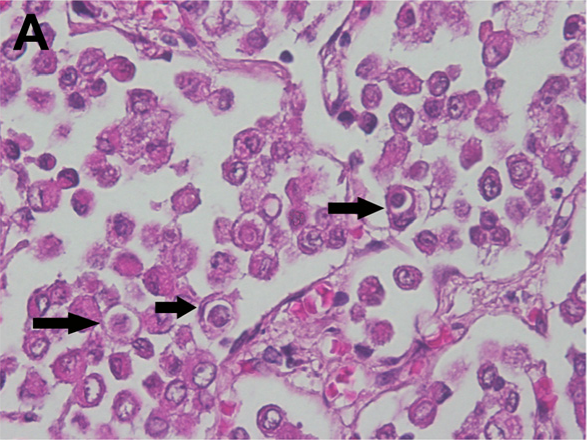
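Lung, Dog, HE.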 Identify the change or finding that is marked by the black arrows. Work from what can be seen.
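Each arrowed cell holds a second, smaller cell inside it, within a clear space. The enclosing cell's nucleus is pushed aside into a thin crescent around the inner cell.
Conclusion: cell internalization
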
